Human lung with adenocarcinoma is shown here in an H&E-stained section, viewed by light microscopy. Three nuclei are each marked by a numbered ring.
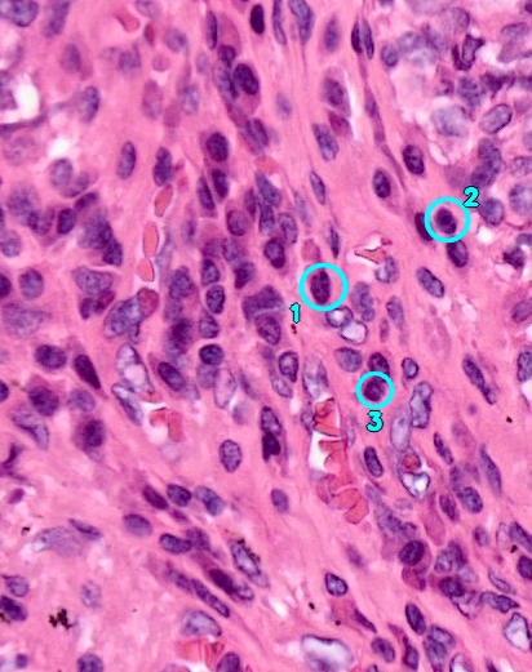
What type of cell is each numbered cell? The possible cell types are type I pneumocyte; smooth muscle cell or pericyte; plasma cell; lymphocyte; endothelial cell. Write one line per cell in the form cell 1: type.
cell 1: plasma cell
cell 2: lymphocyte
cell 3: plasma cell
